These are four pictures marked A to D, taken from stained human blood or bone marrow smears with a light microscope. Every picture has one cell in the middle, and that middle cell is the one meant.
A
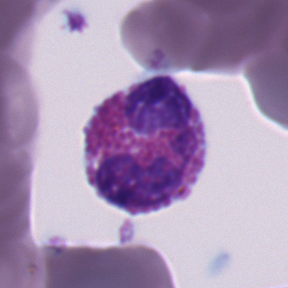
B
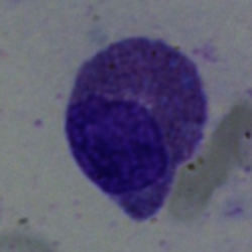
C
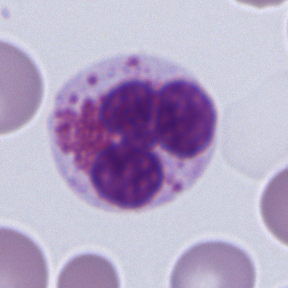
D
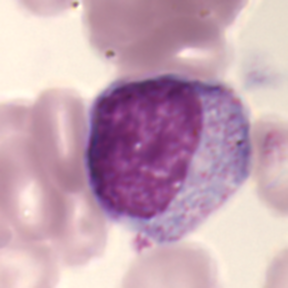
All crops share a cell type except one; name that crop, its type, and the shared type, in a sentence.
The crop that differs is crop D, showing a promyelocyte; the others show eosinophils.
